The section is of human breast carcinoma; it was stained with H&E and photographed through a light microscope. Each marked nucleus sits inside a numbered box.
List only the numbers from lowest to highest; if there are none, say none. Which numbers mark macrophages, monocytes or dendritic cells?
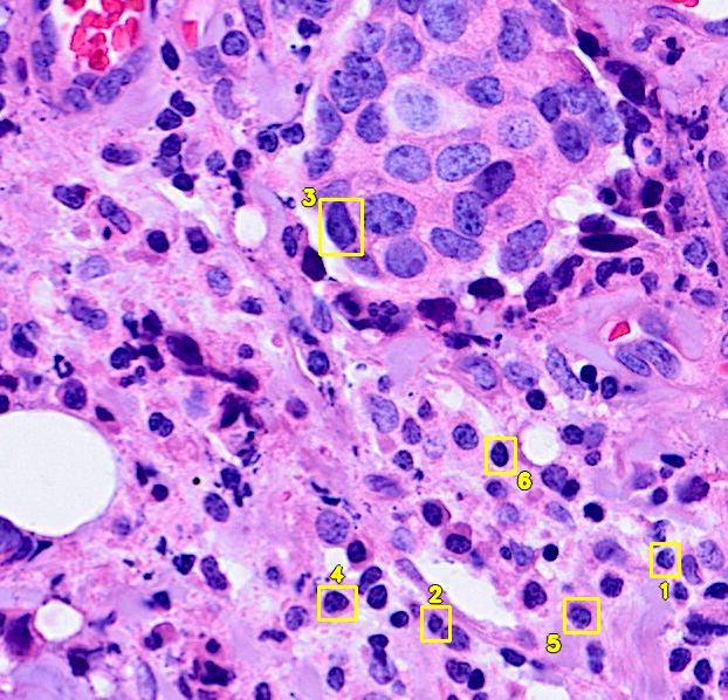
none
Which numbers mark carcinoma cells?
3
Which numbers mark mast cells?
5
